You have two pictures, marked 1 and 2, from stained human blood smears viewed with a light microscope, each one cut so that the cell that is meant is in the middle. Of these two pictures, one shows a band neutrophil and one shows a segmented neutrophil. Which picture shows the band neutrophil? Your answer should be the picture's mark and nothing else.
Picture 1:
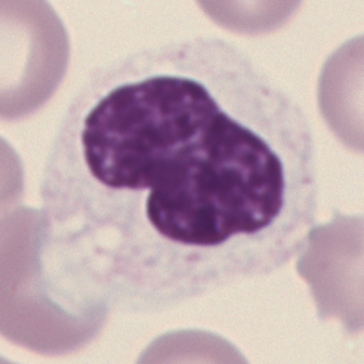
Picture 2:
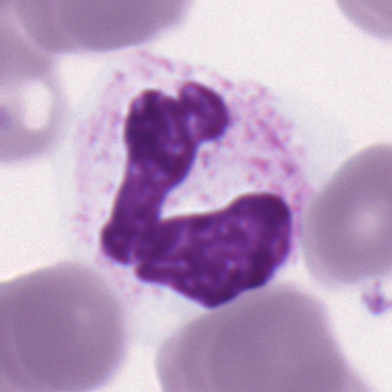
1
